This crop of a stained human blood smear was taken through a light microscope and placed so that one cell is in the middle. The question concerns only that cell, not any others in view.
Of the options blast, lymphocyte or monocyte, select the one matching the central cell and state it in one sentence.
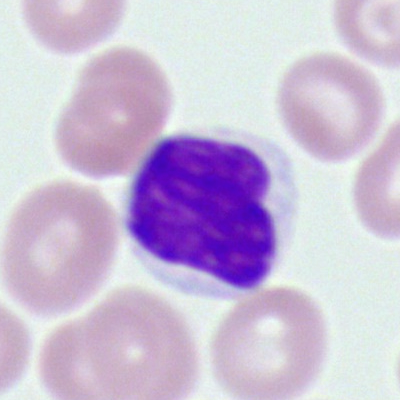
At the center of the crop sits a lymphocyte.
